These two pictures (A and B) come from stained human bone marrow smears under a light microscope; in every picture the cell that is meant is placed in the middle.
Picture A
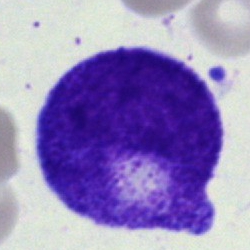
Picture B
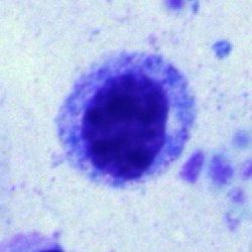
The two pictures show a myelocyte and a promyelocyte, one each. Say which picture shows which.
A: promyelocyte
B: myelocyte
